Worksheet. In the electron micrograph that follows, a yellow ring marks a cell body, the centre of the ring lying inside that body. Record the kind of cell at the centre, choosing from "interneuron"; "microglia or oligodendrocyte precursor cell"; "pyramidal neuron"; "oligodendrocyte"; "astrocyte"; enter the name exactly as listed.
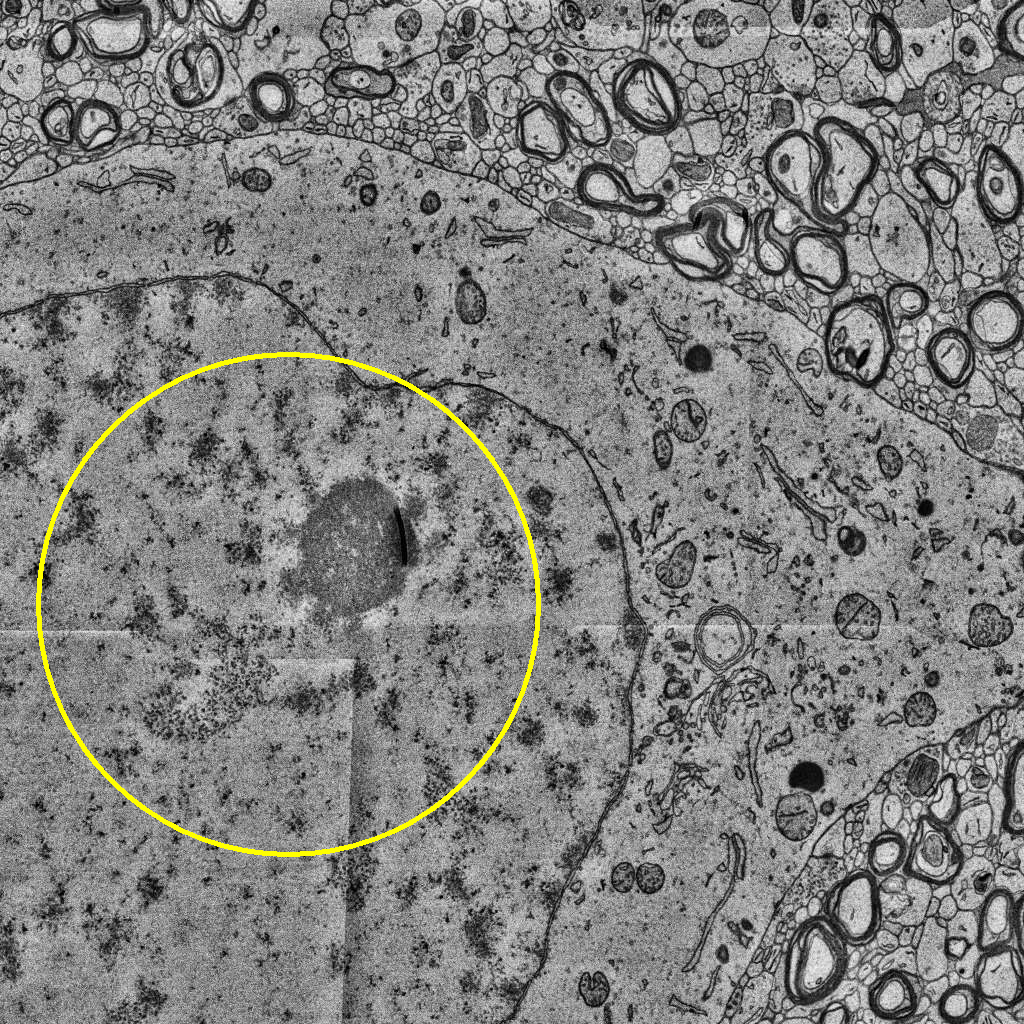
pyramidal neuron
